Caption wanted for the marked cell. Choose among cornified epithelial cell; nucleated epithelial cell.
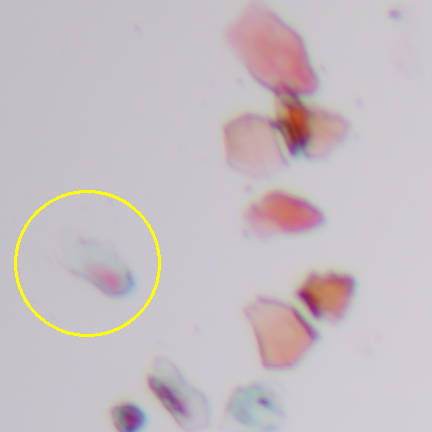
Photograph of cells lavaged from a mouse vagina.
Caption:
Ringed in yellow is a nucleated epithelial cell.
